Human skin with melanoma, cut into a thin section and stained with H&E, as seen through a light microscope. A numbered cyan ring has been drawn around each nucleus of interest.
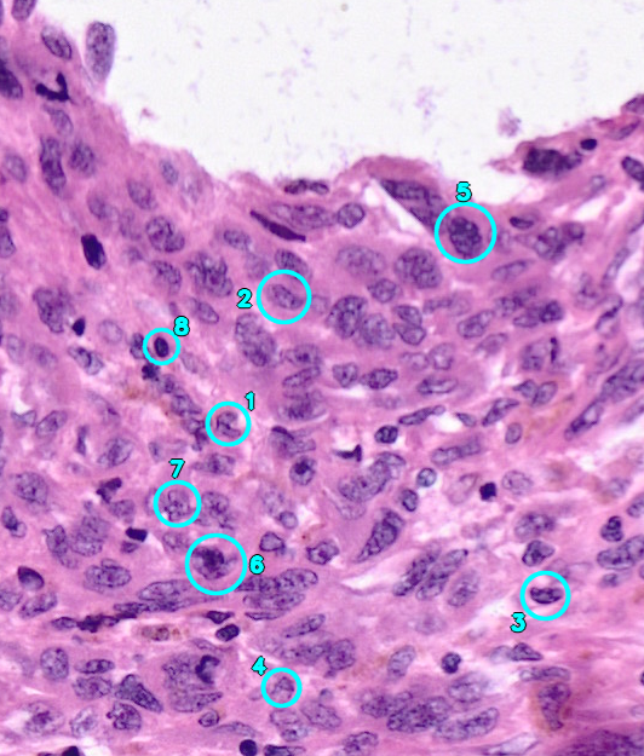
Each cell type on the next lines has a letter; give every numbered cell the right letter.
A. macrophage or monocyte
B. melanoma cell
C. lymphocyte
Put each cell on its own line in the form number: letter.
1: A
2: B
3: C
4: A
5: B
6: B
7: B
8: C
